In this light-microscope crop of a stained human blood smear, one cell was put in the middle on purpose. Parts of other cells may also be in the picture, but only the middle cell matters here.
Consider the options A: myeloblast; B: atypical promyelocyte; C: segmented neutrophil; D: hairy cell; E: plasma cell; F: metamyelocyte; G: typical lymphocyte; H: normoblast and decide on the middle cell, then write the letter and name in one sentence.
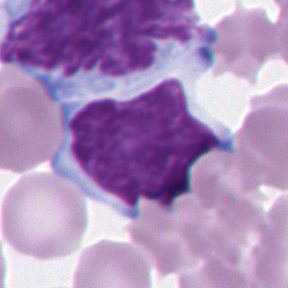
Option G correctly names the cell in the middle as a typical lymphocyte.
